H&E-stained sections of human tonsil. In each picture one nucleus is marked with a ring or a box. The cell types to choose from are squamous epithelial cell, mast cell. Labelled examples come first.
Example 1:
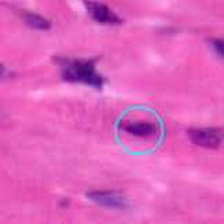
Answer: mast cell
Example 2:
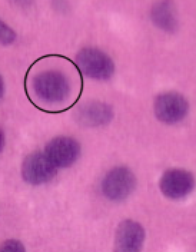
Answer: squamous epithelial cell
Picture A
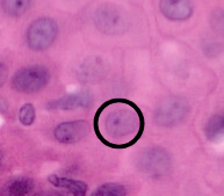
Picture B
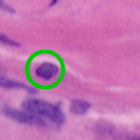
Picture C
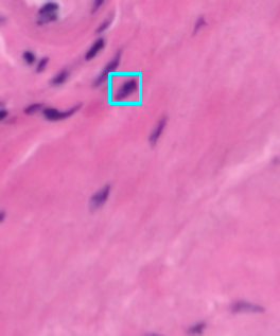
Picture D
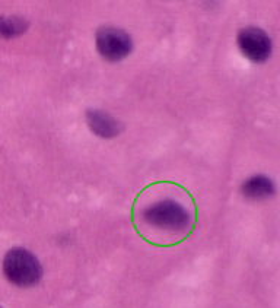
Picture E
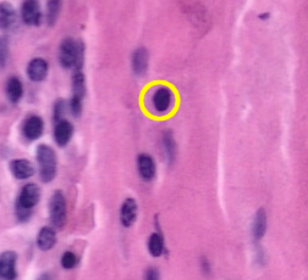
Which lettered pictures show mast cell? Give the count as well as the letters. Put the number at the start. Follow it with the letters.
3, namely B, C, E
